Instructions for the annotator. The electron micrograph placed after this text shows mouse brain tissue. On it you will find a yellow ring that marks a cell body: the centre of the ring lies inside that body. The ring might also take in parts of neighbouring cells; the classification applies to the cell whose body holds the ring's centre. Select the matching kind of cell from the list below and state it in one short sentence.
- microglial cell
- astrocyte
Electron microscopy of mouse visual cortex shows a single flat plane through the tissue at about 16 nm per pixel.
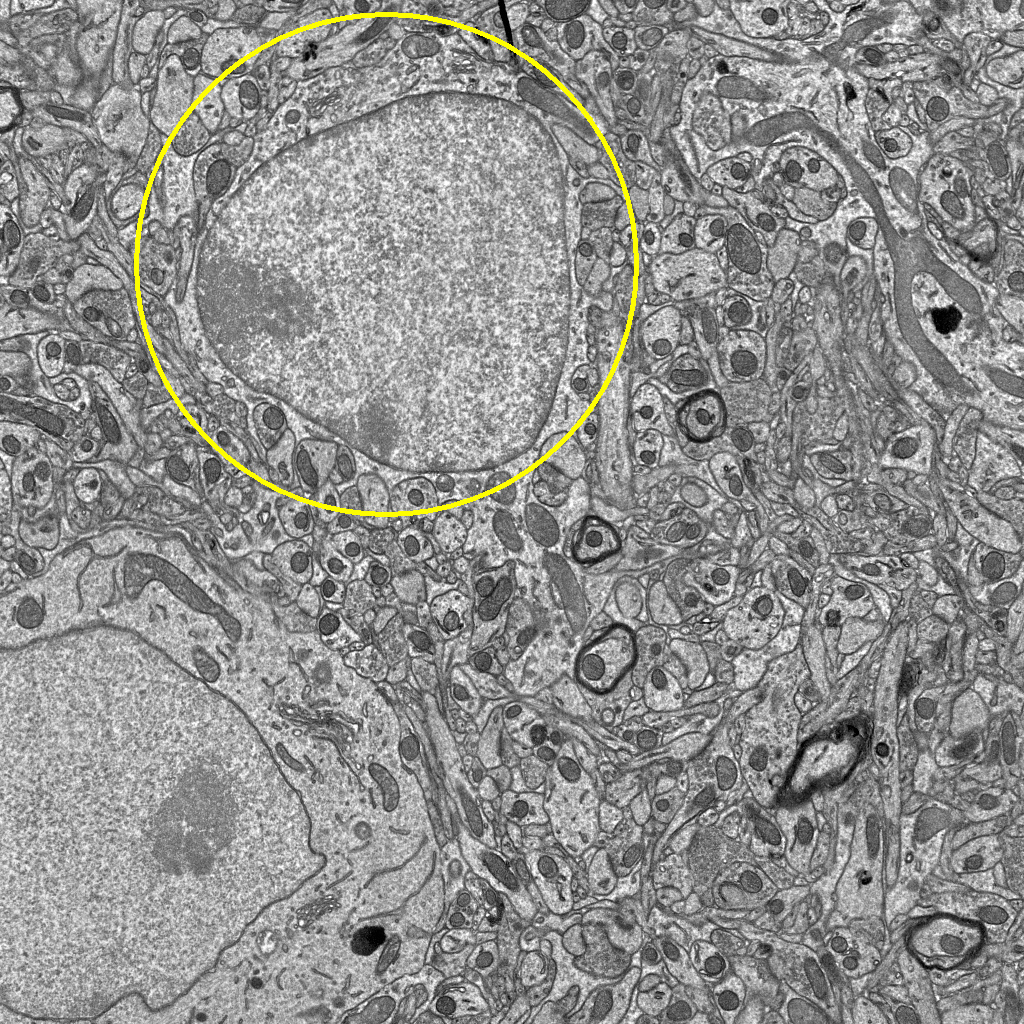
The centre of the ring lies in the cell body of an astrocyte.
